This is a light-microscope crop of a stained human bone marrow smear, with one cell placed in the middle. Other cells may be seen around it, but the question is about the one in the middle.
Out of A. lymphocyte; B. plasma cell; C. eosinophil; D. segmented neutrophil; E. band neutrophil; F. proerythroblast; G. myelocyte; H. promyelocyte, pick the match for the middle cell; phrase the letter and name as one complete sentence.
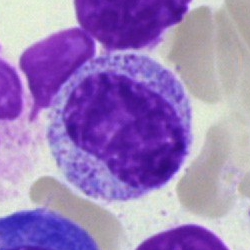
Here the right option is G, as the cell in the middle is a myelocyte.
